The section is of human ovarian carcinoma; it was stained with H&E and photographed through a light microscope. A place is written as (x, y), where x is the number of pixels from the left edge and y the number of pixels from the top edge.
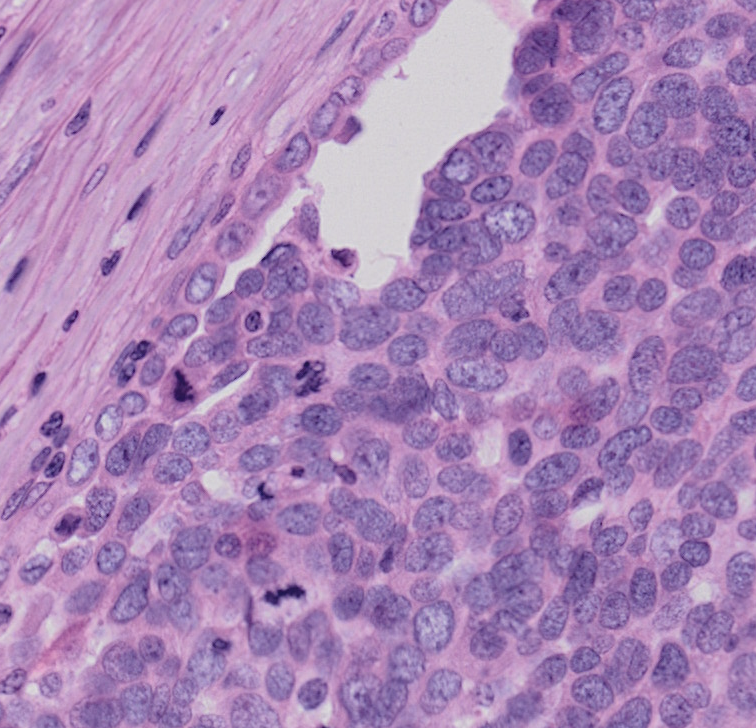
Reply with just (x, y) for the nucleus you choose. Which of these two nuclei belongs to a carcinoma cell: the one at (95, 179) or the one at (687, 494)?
(687, 494)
